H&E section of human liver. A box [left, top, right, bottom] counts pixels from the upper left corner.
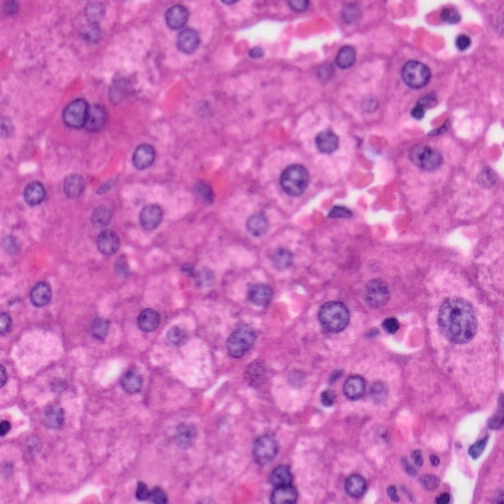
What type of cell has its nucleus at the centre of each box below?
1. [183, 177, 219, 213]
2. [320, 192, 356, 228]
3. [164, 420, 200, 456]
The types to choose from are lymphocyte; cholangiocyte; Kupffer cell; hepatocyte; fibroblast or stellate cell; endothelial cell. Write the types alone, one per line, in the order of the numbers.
endothelial cell
endothelial cell
hepatocyte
